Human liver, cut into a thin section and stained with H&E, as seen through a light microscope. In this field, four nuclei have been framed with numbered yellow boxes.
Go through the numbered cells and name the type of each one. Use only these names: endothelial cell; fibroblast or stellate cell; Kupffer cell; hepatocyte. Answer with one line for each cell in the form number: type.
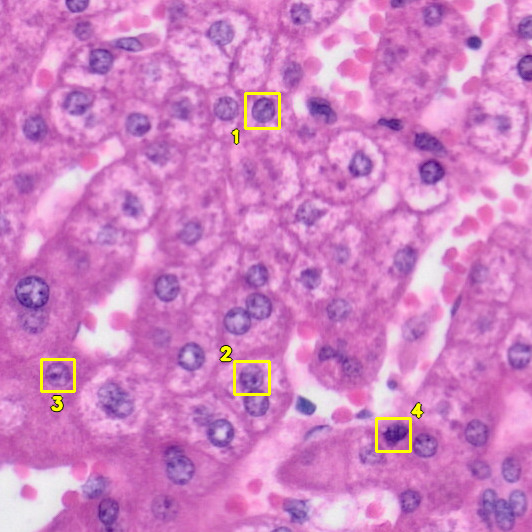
1: hepatocyte
2: hepatocyte
3: hepatocyte
4: fibroblast or stellate cell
